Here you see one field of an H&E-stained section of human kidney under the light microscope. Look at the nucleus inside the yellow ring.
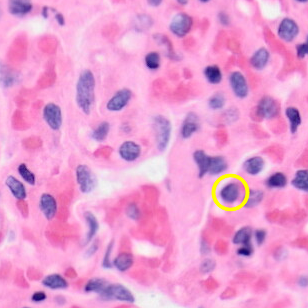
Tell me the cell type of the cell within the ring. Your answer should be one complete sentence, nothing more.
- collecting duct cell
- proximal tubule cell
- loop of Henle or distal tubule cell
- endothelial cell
Typologically, the cell within the ring is an endothelial cell in this section.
